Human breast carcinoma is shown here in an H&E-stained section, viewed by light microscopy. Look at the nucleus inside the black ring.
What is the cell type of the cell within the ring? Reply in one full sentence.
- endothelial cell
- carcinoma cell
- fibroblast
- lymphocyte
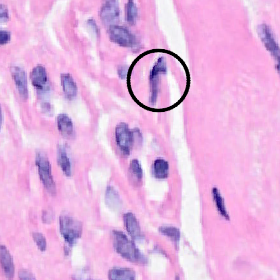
Students should answer that the cell within the ring is a fibroblast.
